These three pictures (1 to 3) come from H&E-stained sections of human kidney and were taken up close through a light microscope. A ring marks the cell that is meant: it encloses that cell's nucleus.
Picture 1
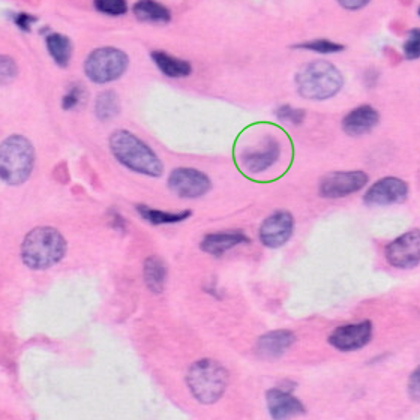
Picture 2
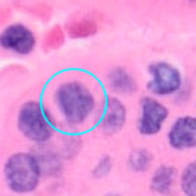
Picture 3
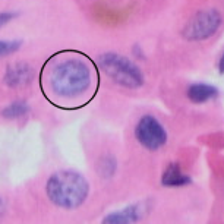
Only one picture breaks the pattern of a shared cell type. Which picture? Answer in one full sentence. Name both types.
The others show collecting duct cells, but picture 3 shows a “loop of Henle or distal tubule cell”.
